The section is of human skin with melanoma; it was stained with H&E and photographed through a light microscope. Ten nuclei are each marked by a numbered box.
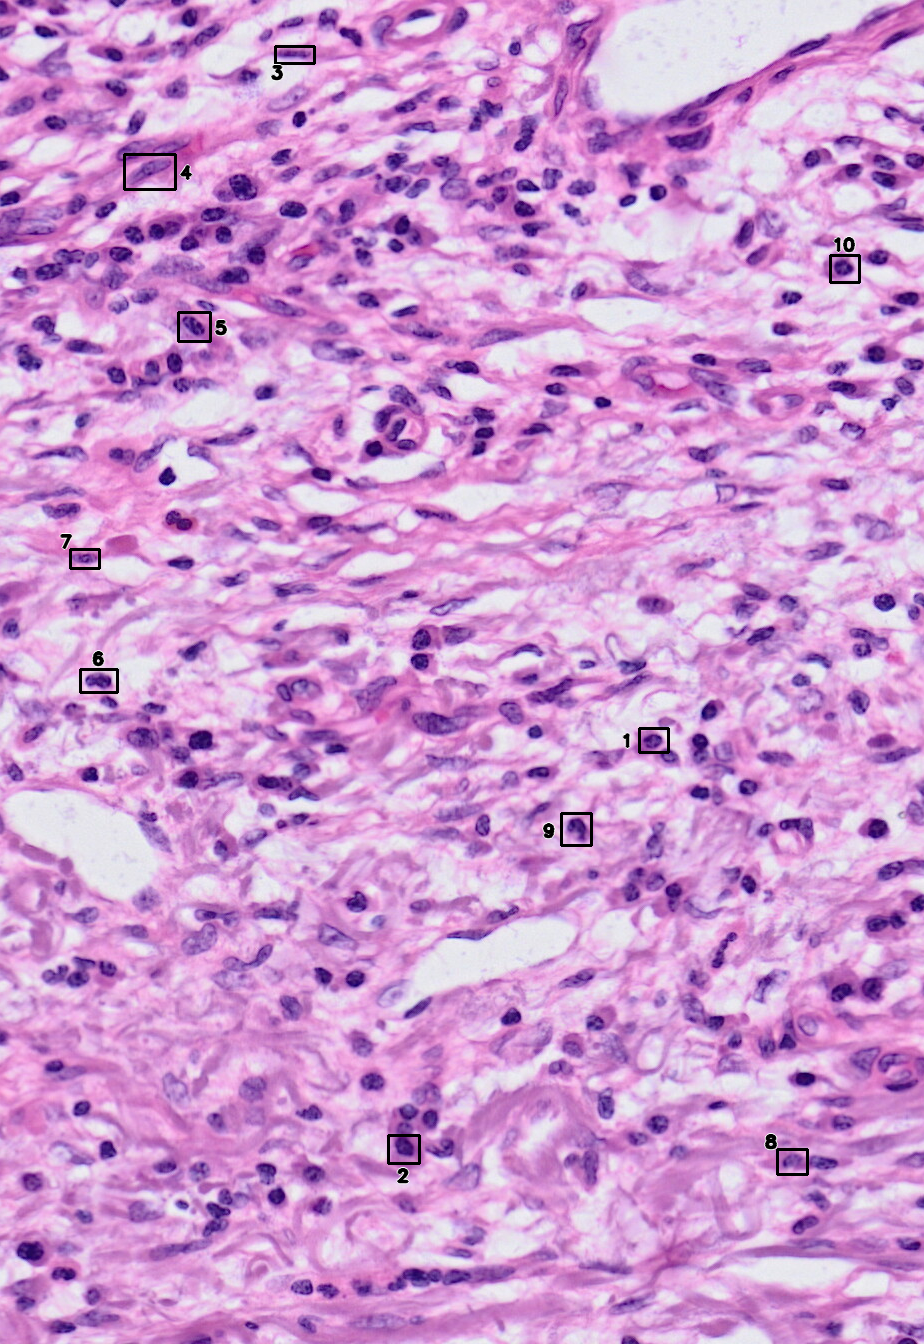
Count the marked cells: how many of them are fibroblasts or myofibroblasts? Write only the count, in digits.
1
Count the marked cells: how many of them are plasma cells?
6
